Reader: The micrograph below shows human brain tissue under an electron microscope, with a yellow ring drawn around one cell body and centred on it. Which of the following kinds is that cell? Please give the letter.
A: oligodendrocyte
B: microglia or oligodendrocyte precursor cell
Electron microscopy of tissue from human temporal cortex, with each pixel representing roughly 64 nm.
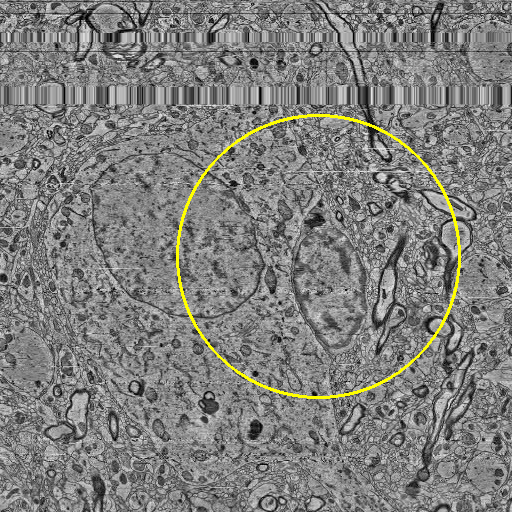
A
